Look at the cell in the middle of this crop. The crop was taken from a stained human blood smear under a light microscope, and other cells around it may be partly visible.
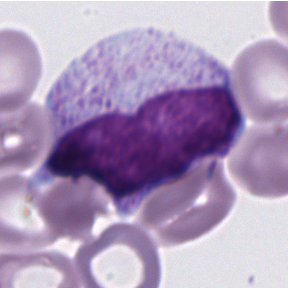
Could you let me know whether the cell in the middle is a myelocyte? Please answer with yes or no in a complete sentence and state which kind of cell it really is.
Yes, the cell here in the middle is a myelocyte.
